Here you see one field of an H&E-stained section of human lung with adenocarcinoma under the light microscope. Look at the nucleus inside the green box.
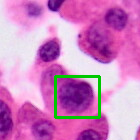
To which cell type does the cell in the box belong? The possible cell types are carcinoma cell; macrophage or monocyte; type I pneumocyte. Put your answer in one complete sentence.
What the cell in the box represents is a carcinoma cell.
